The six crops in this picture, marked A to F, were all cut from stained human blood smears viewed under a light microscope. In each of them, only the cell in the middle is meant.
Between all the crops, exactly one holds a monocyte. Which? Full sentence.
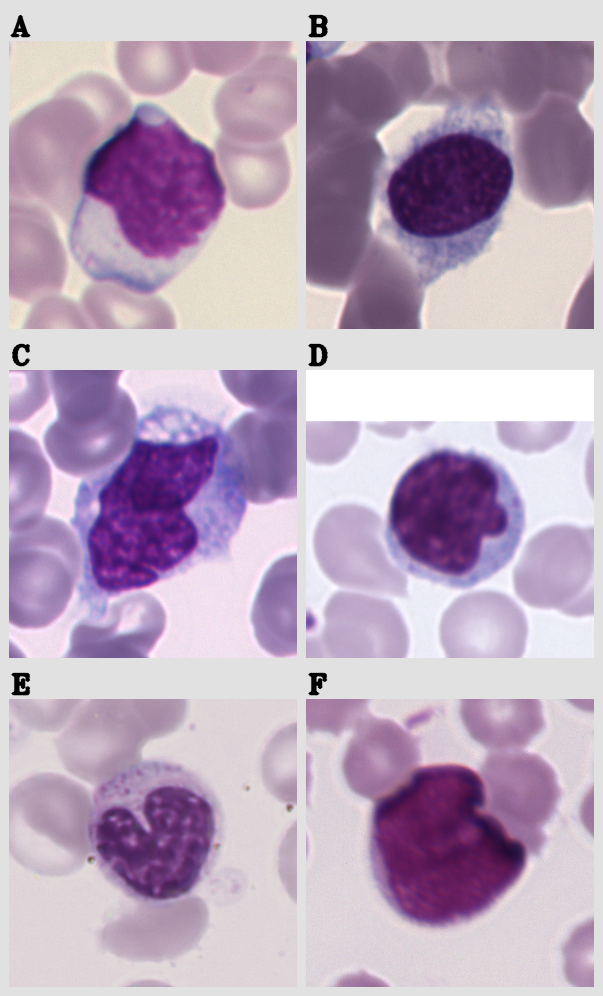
That would be crop C; it shows a monocyte.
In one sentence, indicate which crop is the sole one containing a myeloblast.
In this set, crop F is the one showing a myeloblast.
